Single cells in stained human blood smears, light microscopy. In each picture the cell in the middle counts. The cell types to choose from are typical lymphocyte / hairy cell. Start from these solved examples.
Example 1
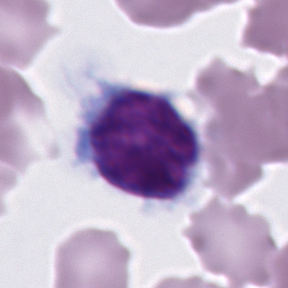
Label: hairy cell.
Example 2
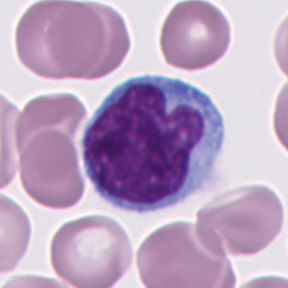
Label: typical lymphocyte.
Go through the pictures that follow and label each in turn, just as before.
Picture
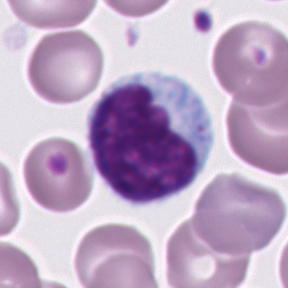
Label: typical lymphocyte.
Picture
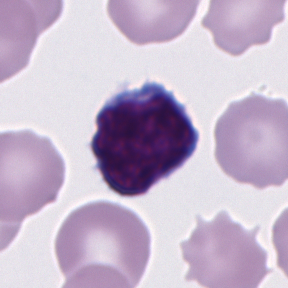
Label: typical lymphocyte.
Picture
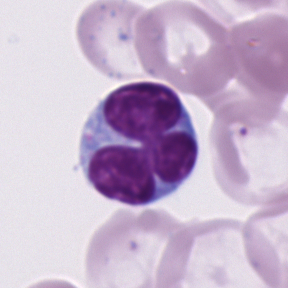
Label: typical lymphocyte.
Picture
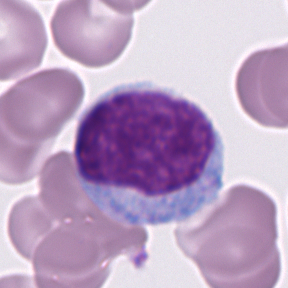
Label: typical lymphocyte.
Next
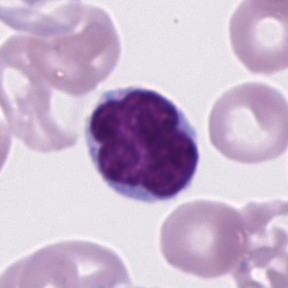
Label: typical lymphocyte.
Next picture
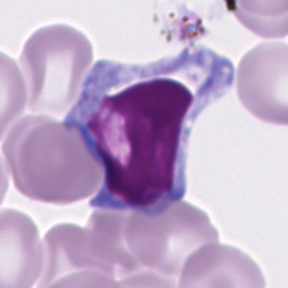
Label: typical lymphocyte.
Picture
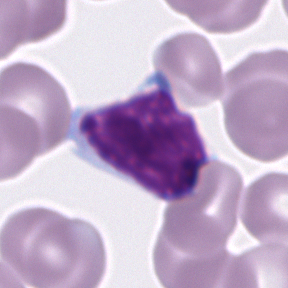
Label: typical lymphocyte.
